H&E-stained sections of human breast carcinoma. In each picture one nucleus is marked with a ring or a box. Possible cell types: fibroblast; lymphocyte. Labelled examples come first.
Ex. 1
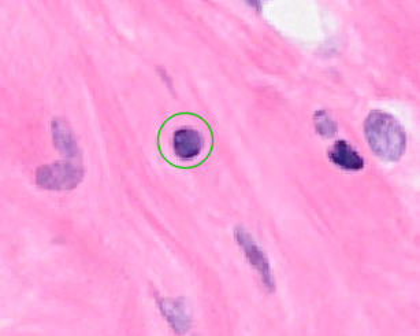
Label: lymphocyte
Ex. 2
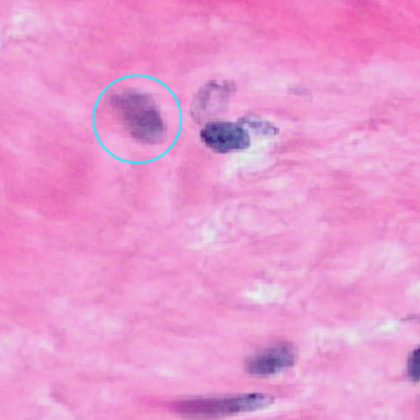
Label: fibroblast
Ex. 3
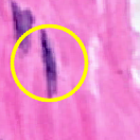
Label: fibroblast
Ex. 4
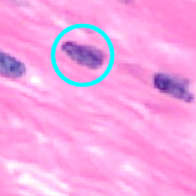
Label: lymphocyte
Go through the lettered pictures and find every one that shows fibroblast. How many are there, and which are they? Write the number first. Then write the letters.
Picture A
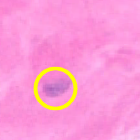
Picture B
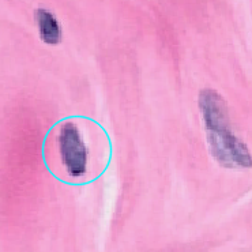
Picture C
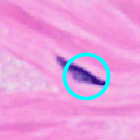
2: A, C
